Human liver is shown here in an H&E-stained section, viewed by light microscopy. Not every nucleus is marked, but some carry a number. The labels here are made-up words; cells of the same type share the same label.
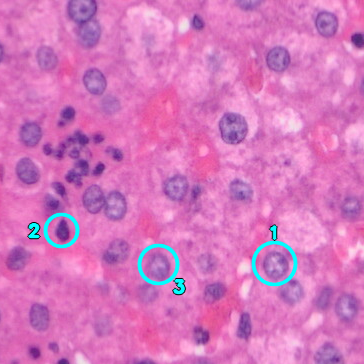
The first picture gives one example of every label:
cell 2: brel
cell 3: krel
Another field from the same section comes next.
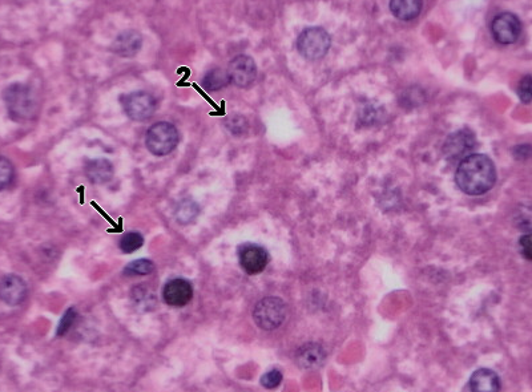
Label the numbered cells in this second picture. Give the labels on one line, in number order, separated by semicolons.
brel; krel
